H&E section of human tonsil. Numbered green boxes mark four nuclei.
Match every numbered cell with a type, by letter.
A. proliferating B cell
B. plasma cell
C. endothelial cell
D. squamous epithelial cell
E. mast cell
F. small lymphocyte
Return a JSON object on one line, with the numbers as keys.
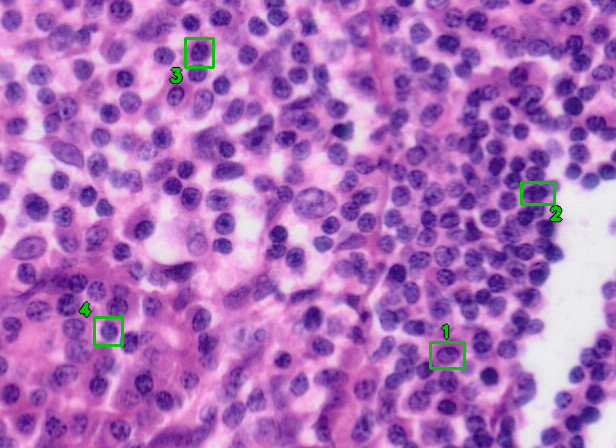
{"1": "B", "2": "F", "3": "B", "4": "B"}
